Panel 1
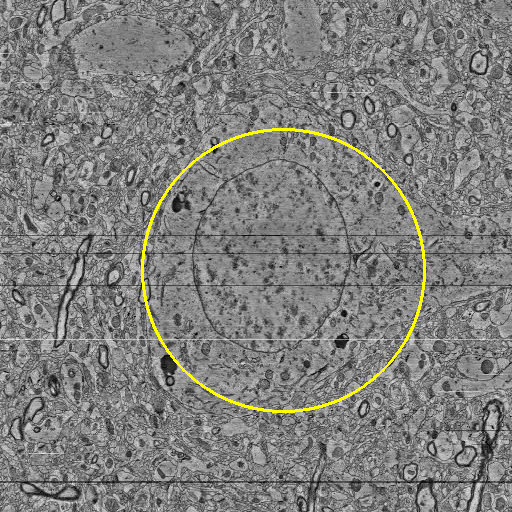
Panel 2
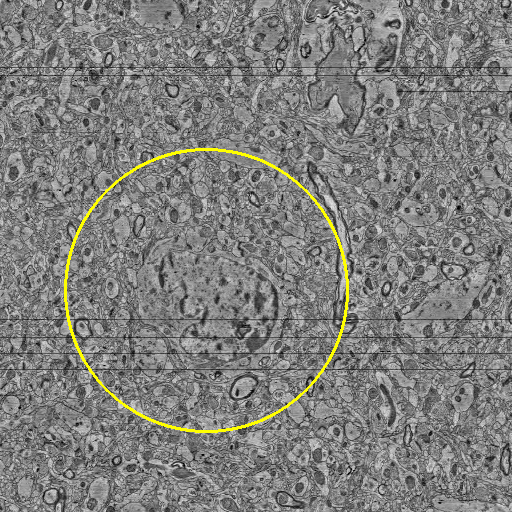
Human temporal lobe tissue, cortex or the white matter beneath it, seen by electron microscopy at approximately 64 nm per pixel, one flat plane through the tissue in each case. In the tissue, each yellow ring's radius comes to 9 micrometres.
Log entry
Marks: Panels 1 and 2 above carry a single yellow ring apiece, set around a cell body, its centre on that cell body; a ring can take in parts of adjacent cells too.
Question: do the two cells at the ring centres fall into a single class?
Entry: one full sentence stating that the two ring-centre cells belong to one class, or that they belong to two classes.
The two ring-centre cells in Panels 1 and 2 belong to two classes.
